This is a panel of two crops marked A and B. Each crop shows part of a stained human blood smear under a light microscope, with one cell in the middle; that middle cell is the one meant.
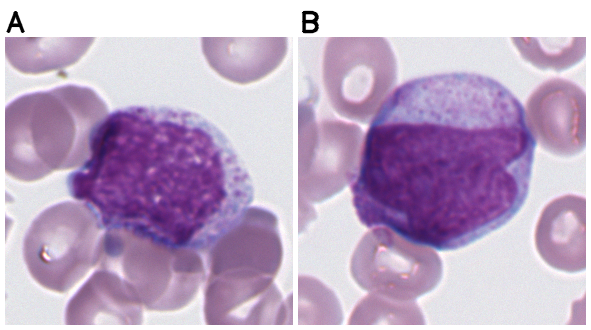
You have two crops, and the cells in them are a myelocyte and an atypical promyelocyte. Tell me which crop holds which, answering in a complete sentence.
In this set, crop A shows a myelocyte and crop B shows an atypical promyelocyte.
